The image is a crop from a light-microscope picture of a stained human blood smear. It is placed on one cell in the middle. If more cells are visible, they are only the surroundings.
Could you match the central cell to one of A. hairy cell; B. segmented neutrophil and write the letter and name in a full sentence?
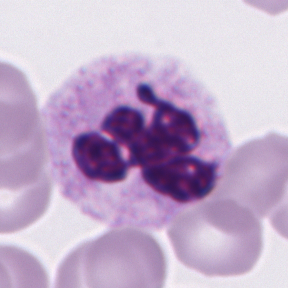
The central cell in this crop is a segmented neutrophil, corresponding to option B, the correct option.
